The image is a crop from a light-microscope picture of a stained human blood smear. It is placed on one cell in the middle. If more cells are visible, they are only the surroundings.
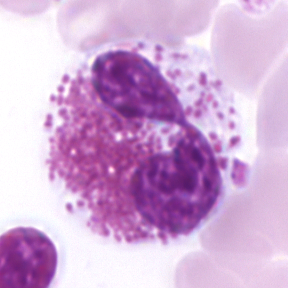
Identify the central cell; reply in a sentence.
Located at the centre of the crop is an eosinophil.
